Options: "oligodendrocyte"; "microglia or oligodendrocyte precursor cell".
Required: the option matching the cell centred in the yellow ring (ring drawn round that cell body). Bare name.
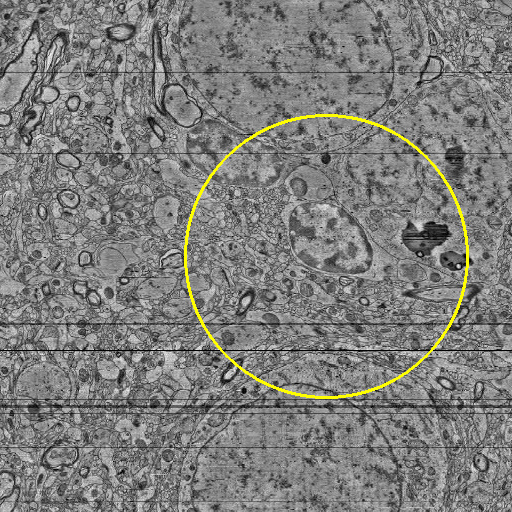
microglia or oligodendrocyte precursor cell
